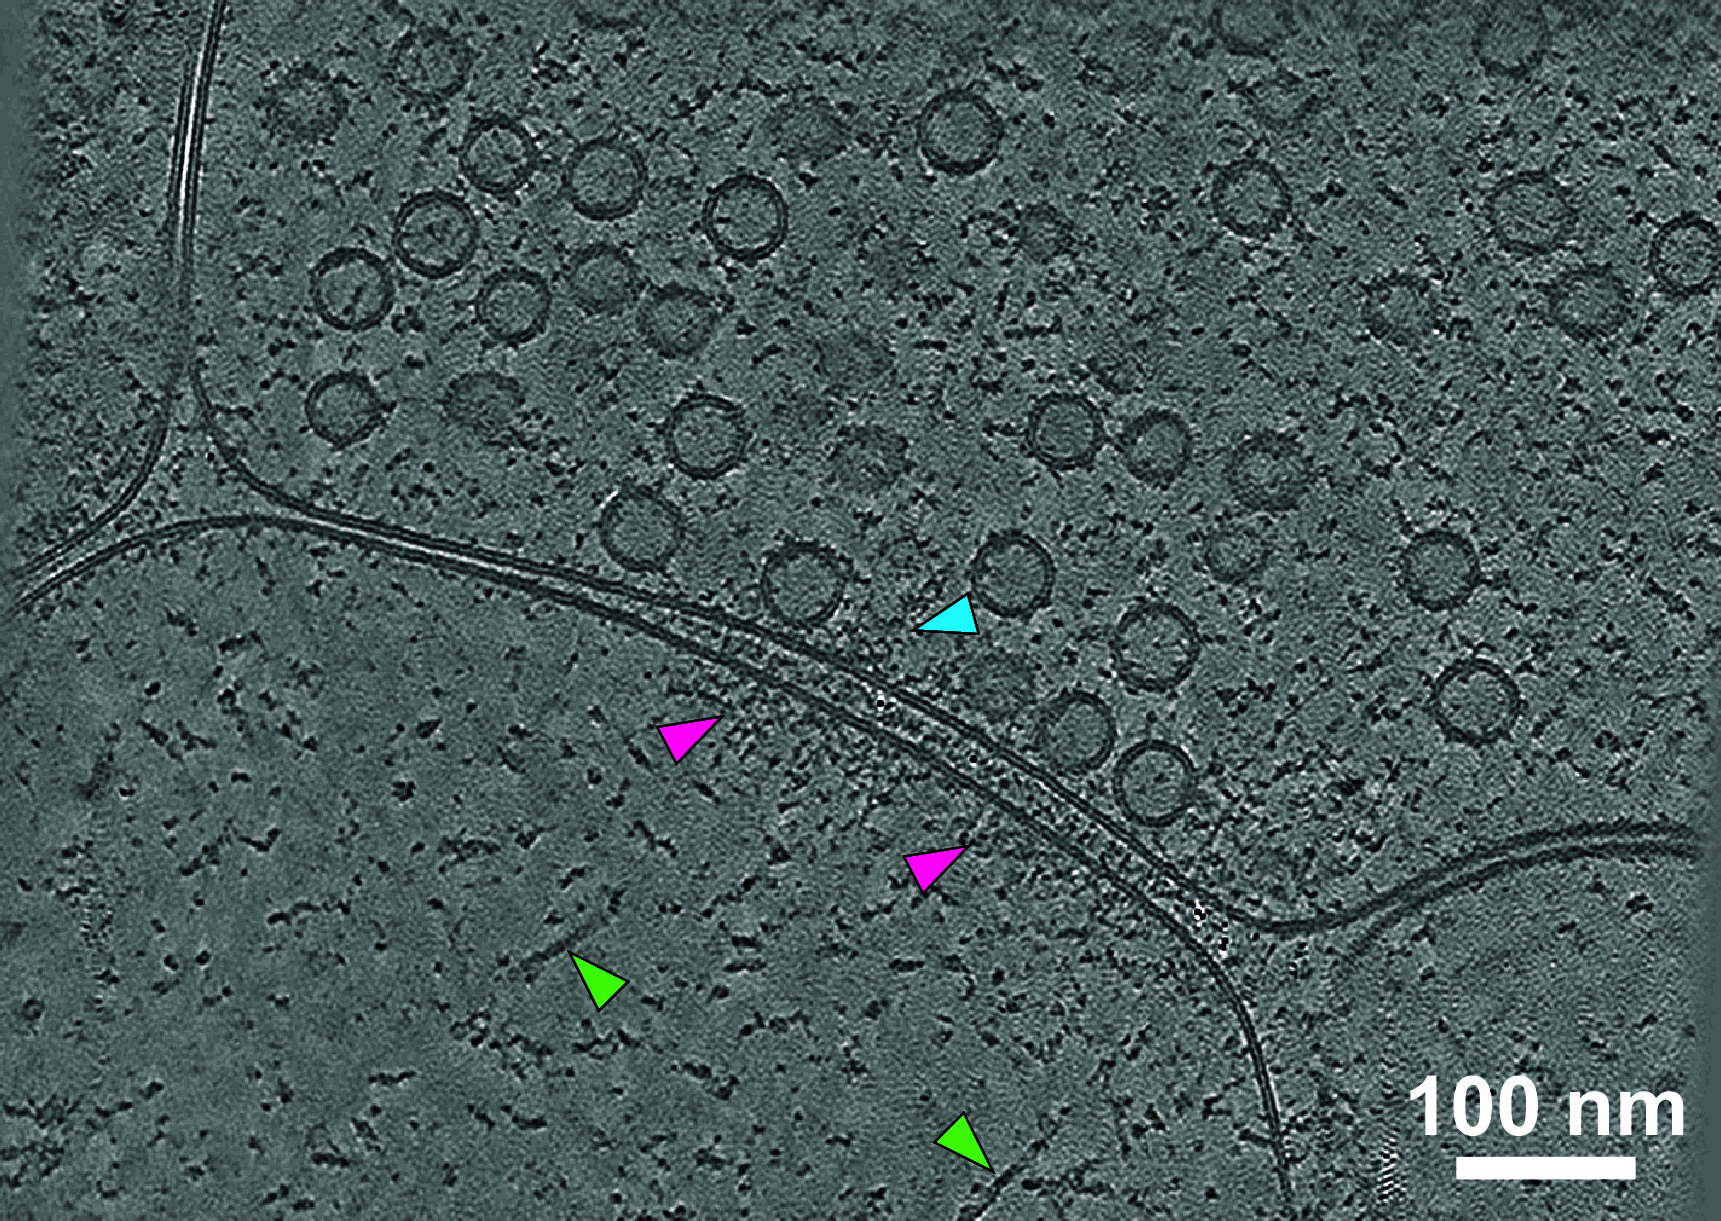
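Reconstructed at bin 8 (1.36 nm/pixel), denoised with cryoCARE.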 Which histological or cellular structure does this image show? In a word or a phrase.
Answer: Synapse.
